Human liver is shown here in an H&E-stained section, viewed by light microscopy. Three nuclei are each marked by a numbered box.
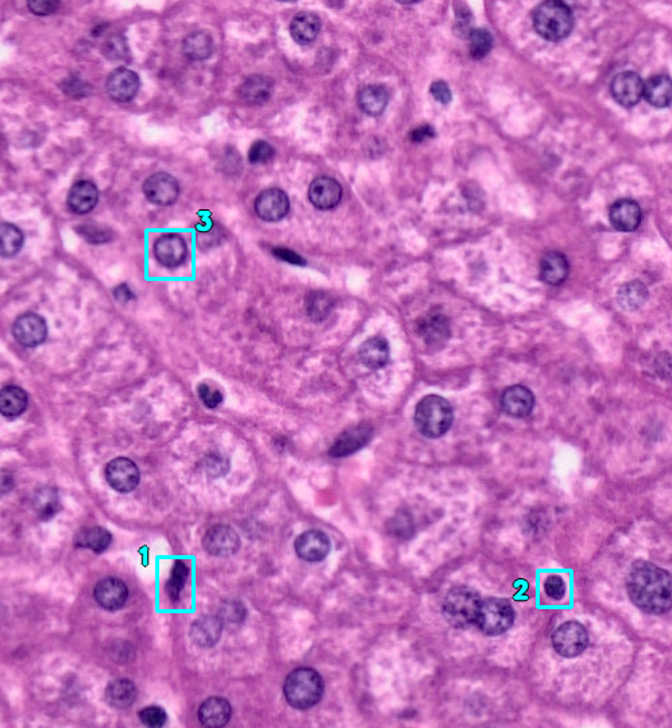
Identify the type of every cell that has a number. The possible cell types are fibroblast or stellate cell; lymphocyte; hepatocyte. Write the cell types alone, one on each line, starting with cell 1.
fibroblast or stellate cell
lymphocyte
hepatocyte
